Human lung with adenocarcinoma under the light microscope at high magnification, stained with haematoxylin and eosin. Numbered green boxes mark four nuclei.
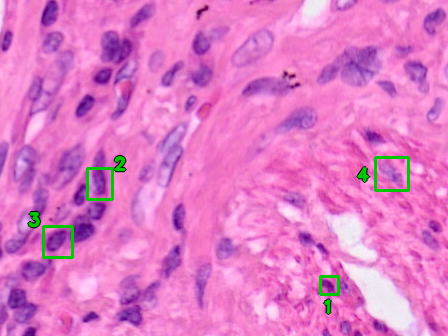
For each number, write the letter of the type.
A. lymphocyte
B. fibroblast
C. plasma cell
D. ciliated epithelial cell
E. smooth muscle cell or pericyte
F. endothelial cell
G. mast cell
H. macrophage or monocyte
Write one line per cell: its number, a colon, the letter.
1: E
2: C
3: C
4: E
